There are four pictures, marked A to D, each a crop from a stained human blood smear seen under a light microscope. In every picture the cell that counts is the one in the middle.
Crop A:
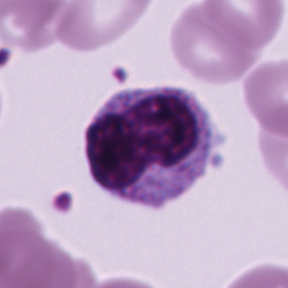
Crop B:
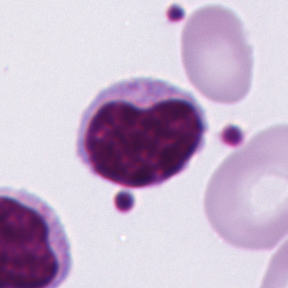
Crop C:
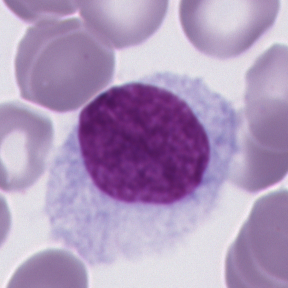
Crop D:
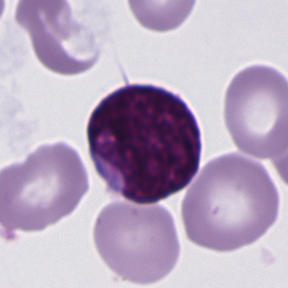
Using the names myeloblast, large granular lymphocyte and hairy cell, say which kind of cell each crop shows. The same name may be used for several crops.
A: large granular lymphocyte
B: large granular lymphocyte
C: hairy cell
D: myeloblast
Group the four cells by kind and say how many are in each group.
large granular lymphocyte: 2
hairy cell: 1
myeloblast: 1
